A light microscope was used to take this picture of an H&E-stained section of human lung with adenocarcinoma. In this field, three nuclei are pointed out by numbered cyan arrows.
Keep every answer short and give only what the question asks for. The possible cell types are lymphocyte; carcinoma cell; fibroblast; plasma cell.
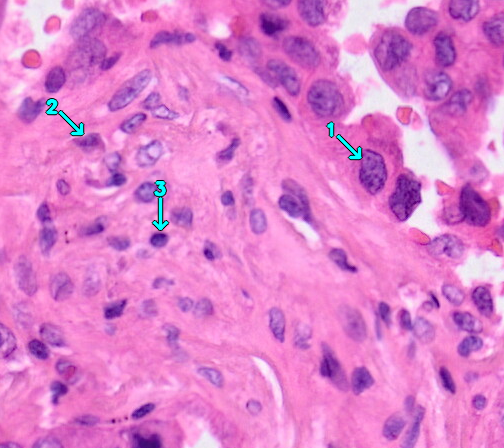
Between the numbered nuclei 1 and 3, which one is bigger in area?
1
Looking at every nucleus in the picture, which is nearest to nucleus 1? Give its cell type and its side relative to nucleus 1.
a carcinoma cell, below and to the right of nucleus 1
